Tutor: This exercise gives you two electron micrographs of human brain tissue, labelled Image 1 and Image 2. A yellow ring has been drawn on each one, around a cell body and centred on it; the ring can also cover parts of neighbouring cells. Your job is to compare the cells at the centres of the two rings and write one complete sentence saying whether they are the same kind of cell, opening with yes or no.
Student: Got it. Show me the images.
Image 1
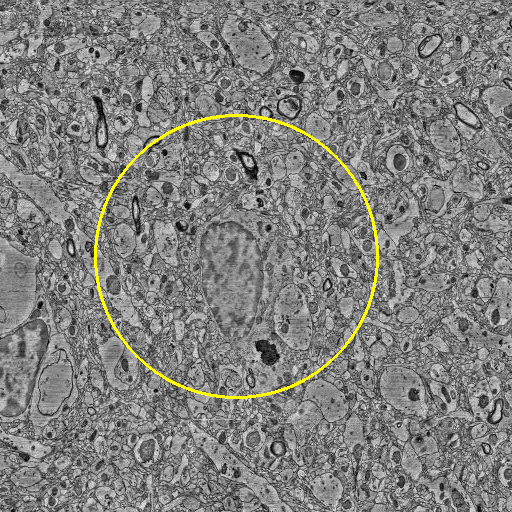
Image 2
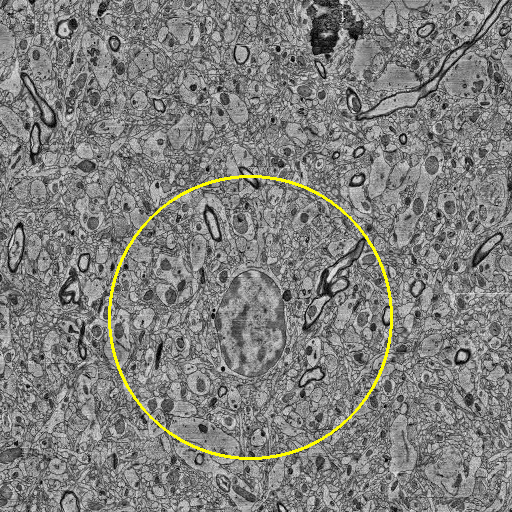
No, the two cells belong to two kinds.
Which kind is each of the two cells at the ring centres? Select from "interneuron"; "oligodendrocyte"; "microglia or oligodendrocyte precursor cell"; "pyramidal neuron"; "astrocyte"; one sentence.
The cell at the centre of the ring is an oligodendrocyte in the first picture and a microglial cell or oligodendrocyte precursor cell in the second.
